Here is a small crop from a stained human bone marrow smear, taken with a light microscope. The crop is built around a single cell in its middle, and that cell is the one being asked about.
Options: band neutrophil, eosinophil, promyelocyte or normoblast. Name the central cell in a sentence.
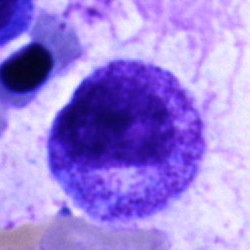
Seen at the centre of the crop is a promyelocyte.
